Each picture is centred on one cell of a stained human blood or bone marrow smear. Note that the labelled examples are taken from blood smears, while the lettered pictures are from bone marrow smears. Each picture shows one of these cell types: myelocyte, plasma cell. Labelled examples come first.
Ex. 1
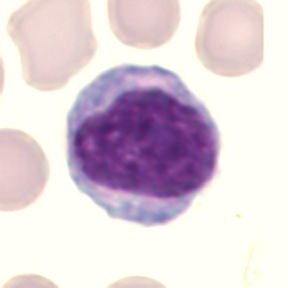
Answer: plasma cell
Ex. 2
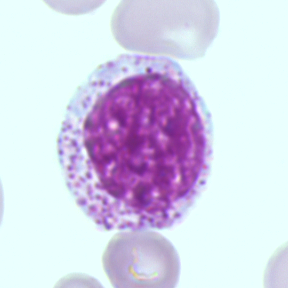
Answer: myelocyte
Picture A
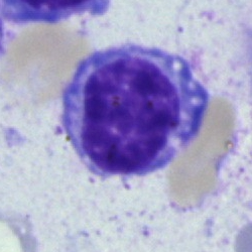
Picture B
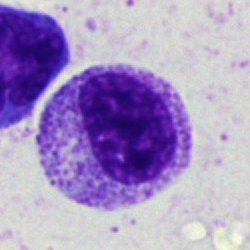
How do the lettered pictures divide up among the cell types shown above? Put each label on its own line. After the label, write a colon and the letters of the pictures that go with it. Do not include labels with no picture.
myelocyte: B
plasma cell: A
